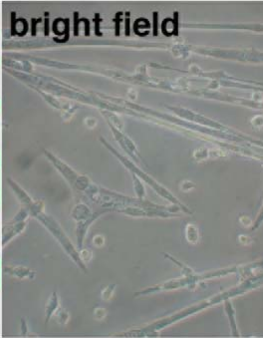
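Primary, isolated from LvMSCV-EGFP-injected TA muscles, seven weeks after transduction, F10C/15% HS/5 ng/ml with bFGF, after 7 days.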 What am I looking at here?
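Cultured myotubes appear as long, slender cells lying in roughly parallel bundles across the dish, some tapering at their ends and a few with short branches. Numerous small, rounded, phase-bright cells are scattered between and on top of the elongated cells.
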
